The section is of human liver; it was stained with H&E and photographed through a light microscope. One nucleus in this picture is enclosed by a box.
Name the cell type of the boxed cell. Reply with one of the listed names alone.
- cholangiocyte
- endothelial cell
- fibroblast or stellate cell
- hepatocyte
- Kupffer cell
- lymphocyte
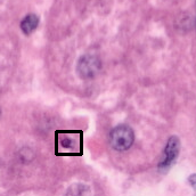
lymphocyte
